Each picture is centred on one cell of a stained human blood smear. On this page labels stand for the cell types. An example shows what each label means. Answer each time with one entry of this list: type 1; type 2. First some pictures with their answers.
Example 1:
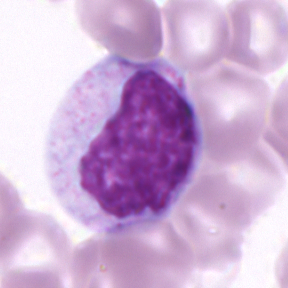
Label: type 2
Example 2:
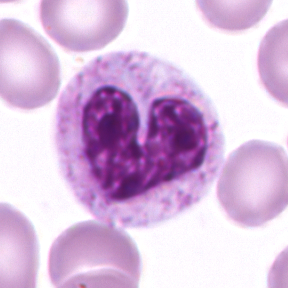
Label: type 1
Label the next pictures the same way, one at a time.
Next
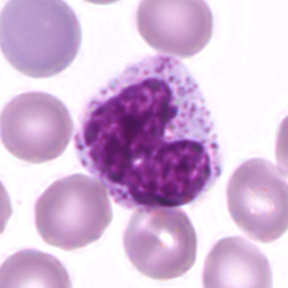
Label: type 1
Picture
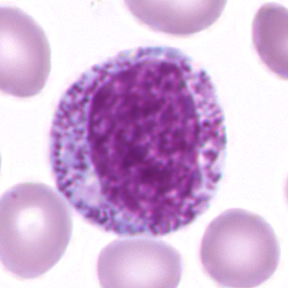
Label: type 2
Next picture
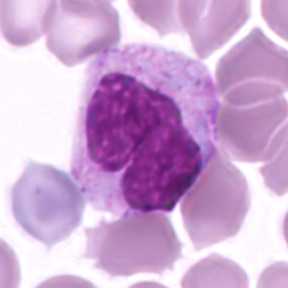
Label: type 1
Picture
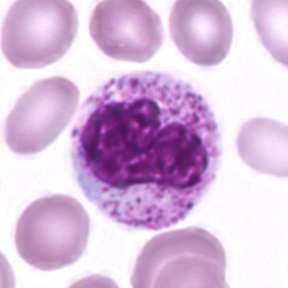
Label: type 1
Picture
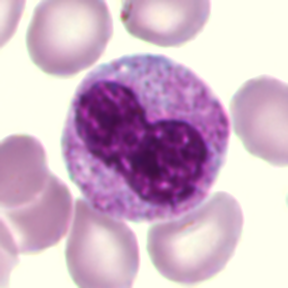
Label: type 1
